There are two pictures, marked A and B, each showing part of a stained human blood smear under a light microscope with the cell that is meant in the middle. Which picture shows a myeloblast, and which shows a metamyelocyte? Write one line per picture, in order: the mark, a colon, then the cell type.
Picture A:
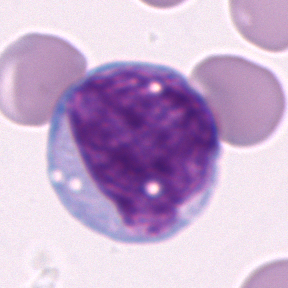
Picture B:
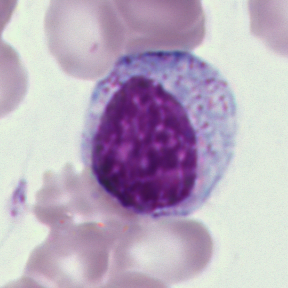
A: myeloblast
B: metamyelocyte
